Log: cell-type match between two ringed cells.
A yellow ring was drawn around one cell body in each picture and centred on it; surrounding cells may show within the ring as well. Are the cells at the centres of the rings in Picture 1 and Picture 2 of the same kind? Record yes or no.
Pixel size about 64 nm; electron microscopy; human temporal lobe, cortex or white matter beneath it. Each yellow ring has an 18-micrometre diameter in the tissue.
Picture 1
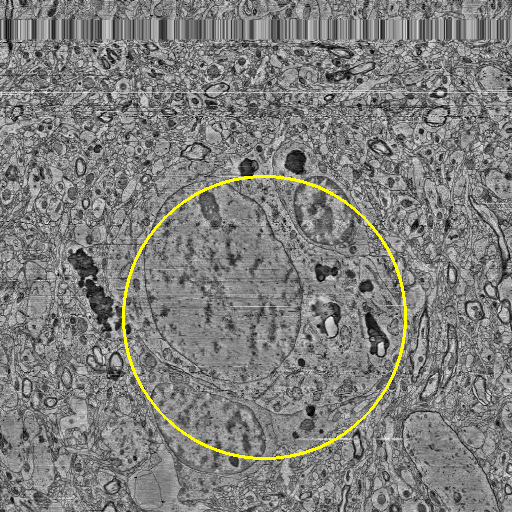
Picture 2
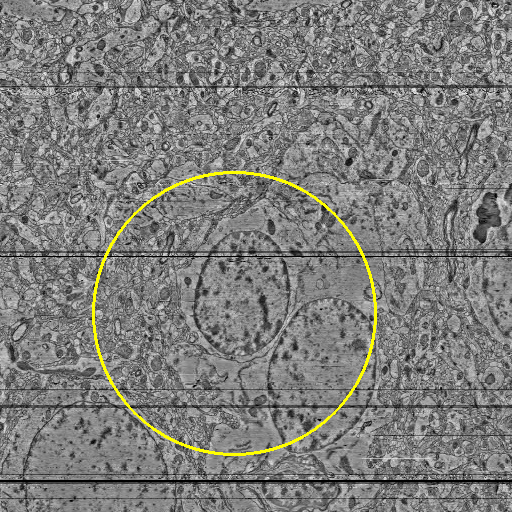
no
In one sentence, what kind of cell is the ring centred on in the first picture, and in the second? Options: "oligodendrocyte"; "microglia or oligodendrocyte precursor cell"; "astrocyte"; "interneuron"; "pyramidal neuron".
The cell at the centre of the second ring is an astrocyte; the first ring's cell is a pyramidal neuron.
